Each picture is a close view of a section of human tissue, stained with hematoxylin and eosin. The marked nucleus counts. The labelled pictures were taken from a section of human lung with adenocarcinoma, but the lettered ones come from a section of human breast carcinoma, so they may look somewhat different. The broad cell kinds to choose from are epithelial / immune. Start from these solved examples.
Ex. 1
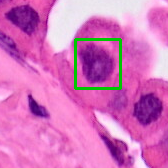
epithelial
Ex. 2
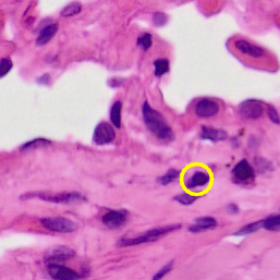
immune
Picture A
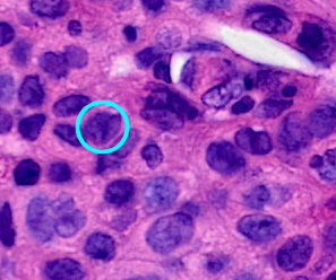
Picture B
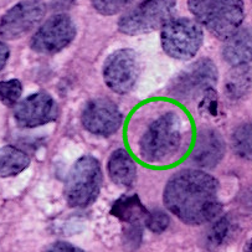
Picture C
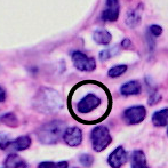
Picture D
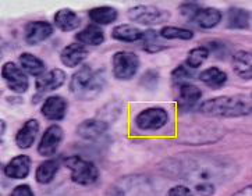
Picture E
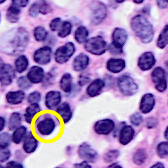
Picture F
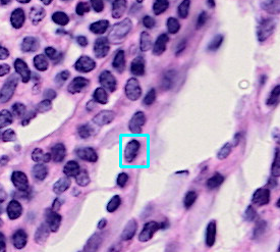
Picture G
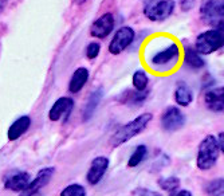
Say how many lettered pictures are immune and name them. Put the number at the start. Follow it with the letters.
5, namely C, D, E, F, G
